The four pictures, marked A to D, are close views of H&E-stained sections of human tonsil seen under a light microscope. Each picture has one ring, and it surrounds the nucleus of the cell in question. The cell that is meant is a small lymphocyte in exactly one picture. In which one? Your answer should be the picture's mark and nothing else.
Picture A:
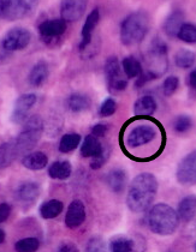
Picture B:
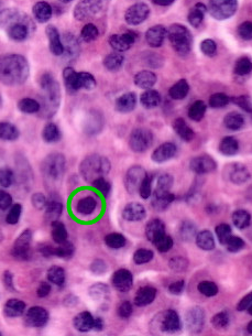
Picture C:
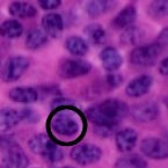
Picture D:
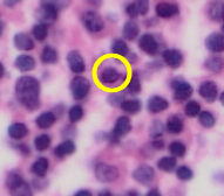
D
